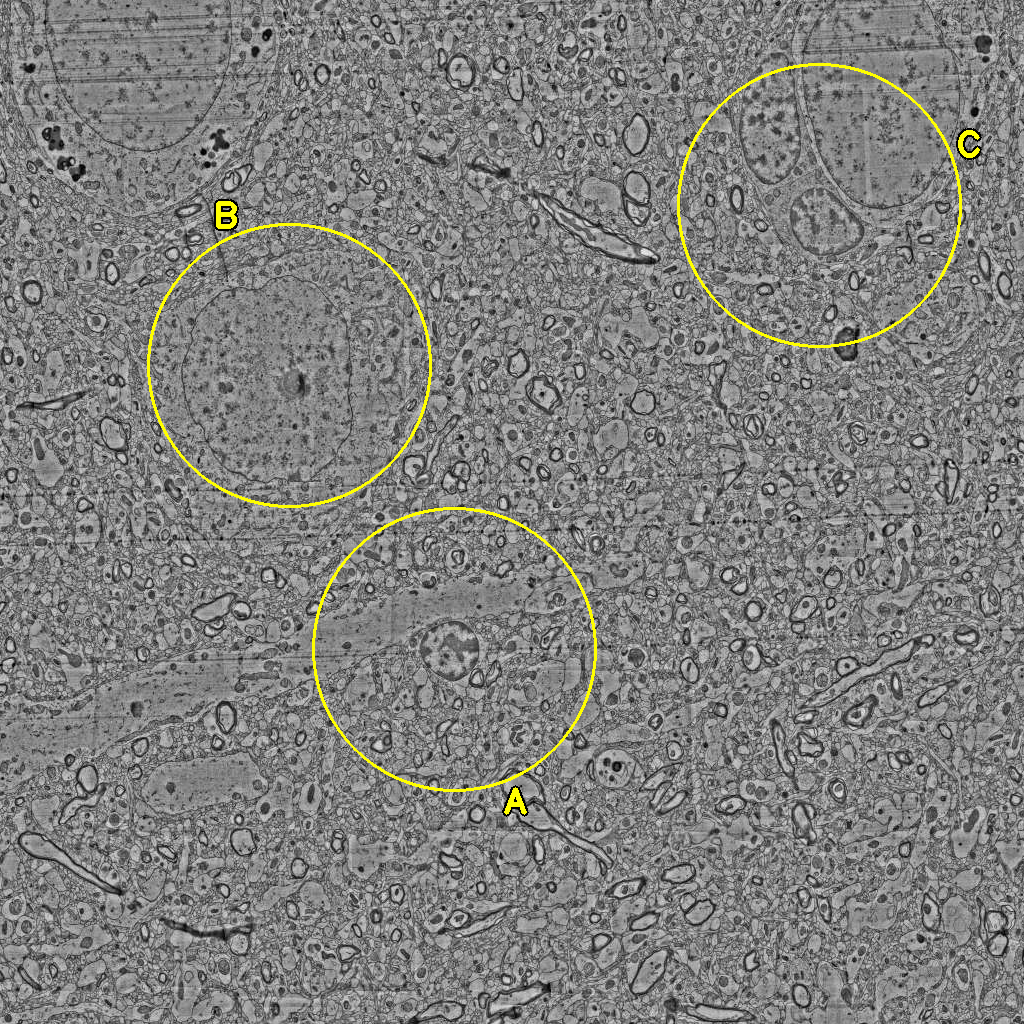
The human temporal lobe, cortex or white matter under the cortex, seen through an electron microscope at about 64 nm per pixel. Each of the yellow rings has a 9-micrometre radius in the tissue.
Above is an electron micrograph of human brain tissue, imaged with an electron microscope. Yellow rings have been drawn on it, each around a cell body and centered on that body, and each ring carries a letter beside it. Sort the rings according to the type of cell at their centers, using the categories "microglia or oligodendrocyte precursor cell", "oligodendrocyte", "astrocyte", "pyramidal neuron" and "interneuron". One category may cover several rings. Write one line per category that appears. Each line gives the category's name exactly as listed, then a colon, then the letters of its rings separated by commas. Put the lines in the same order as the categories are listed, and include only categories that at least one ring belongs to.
microglia or oligodendrocyte precursor cell: A
oligodendrocyte: C
pyramidal neuron: B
